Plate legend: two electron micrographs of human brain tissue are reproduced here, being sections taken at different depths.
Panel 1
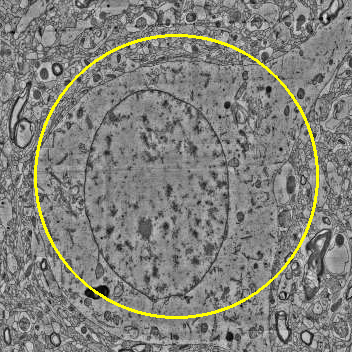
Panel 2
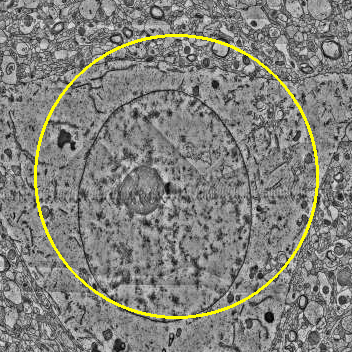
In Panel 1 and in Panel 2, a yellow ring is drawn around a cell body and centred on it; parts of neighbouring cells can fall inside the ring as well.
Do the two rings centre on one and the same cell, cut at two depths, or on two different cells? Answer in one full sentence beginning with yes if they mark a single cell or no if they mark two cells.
No, the two rings do not mark one cell; they mark two different cells.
